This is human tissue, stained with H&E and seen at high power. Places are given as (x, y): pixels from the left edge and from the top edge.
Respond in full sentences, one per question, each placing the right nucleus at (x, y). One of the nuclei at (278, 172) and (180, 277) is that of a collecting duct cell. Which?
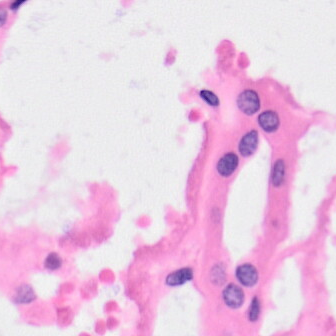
Identify the nucleus at (278, 172) as the one belonging to a collecting duct cell.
